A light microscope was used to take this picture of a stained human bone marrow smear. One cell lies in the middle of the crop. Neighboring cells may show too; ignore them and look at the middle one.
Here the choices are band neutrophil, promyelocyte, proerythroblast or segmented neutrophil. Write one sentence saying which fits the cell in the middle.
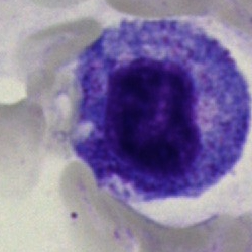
Framed in the middle of the crop is a promyelocyte.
